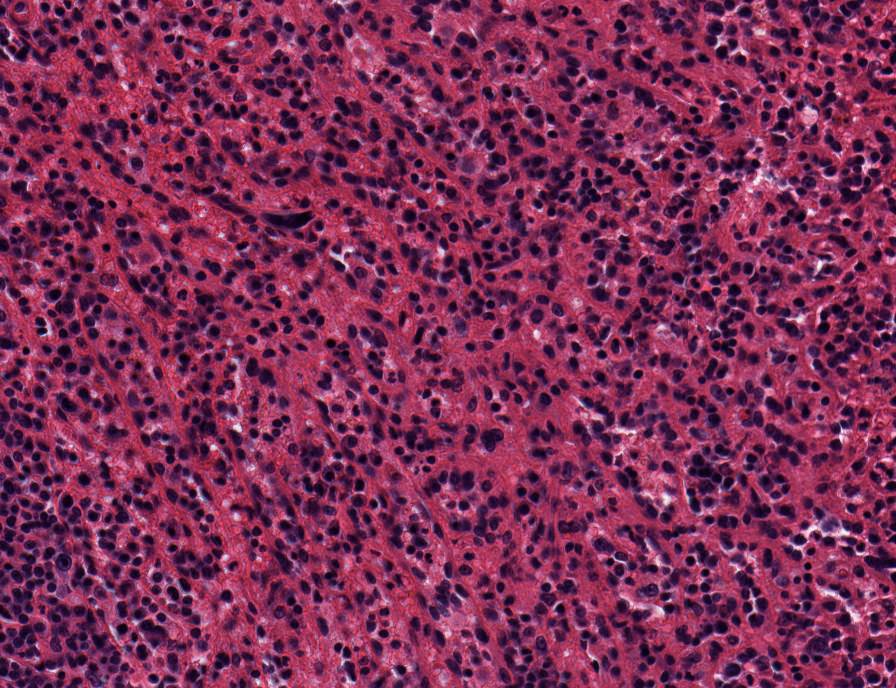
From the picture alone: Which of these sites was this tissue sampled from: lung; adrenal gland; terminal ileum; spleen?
spleen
